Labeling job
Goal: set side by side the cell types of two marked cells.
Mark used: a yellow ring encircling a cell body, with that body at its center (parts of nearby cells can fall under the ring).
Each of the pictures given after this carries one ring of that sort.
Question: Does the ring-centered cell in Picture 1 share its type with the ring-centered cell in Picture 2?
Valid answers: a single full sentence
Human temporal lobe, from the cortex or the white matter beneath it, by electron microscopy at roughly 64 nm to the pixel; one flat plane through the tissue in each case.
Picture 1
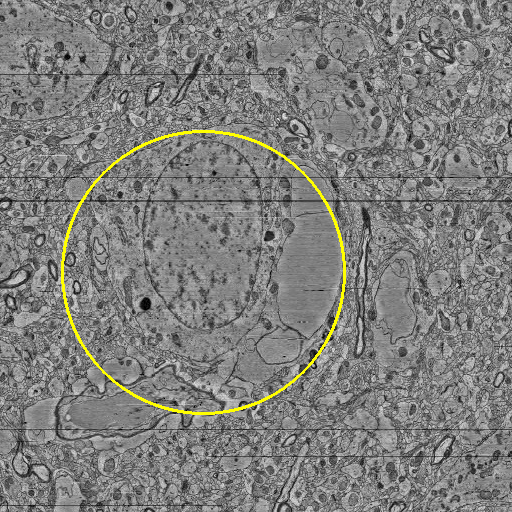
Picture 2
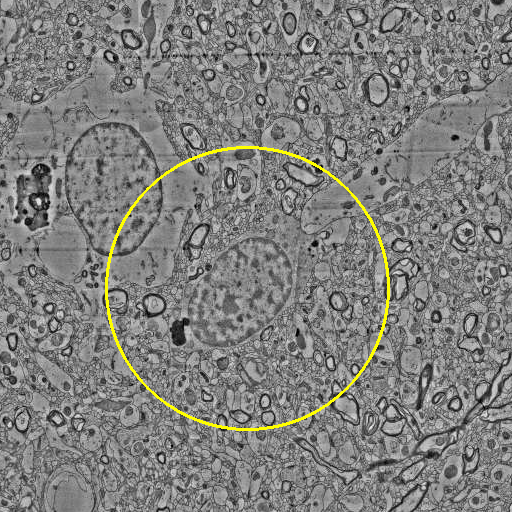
No, in Pictures 1 and 2 the cells at the ring centers have separate types.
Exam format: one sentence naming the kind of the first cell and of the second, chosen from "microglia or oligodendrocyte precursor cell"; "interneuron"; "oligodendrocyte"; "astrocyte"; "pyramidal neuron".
The first picture's cell is a pyramidal neuron, and the second picture's cell is an oligodendrocyte.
